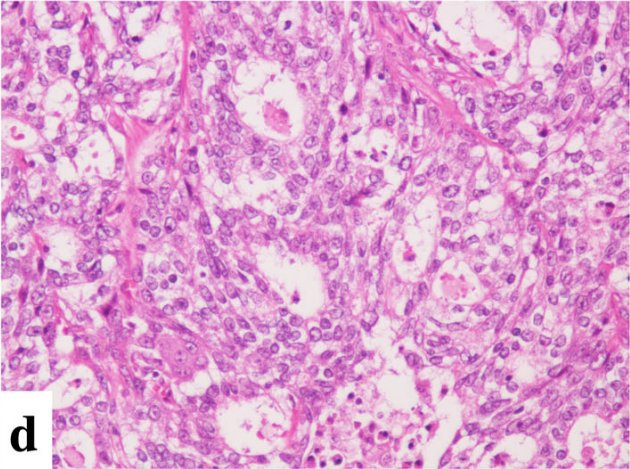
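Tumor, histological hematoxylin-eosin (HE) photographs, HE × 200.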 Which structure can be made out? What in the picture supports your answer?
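Tumor cells surround small round lumina. Some lumina contain pale or pink material.
Gland-like structure.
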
